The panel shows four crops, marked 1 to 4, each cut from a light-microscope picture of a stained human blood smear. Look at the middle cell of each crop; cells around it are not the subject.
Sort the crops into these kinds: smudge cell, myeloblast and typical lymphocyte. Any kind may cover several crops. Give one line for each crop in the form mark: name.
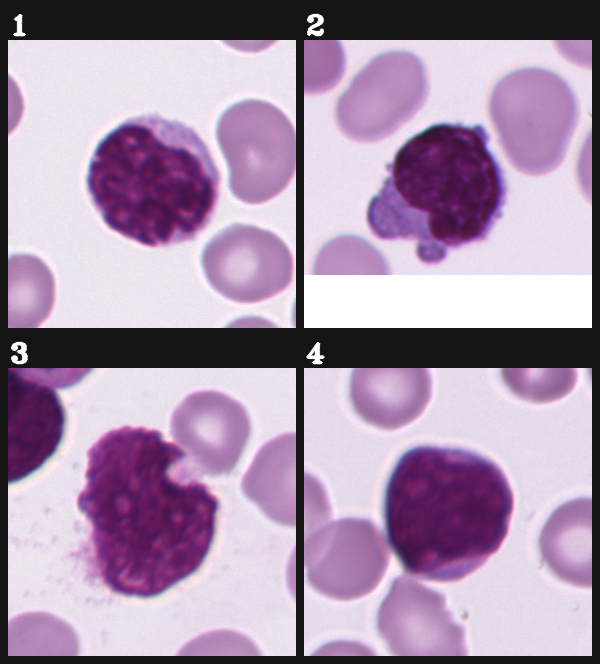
1: typical lymphocyte
2: typical lymphocyte
3: smudge cell
4: myeloblast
